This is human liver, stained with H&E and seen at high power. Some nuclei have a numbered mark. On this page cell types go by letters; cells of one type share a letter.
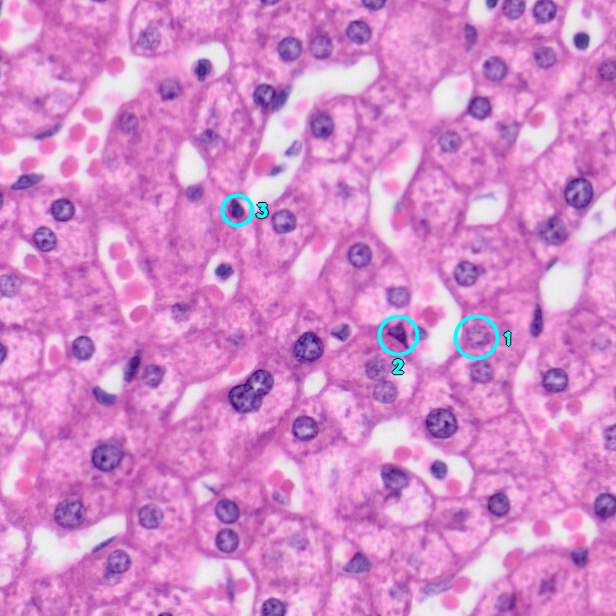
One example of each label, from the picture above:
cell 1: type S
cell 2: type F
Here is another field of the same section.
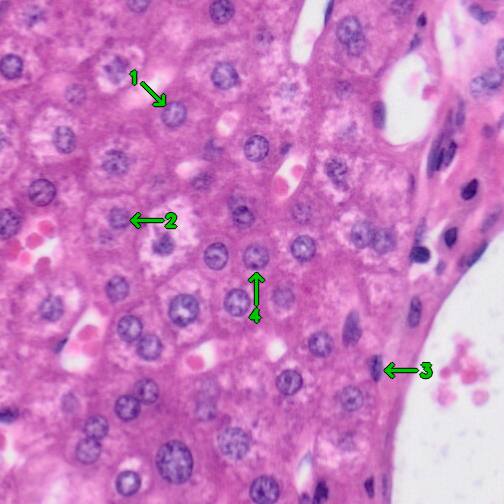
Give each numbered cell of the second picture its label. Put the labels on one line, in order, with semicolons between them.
type S; type S; type F; type S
